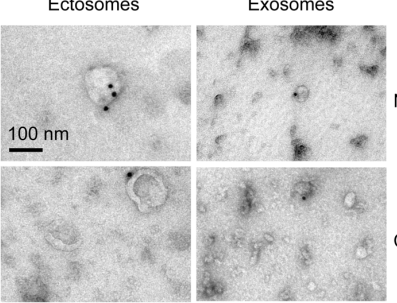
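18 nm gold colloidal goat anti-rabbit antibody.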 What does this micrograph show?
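The vesicles are small, rounded or cup-shaped profiles, roughly on the order of the hundred-nanometre scale bar or smaller, each outlined by a thin darker rim. Some are collapsed or irregular, and darker amorphous clumps of material lie scattered between them. Most vesicles, especially the smaller ones on the right, carry no dot.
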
